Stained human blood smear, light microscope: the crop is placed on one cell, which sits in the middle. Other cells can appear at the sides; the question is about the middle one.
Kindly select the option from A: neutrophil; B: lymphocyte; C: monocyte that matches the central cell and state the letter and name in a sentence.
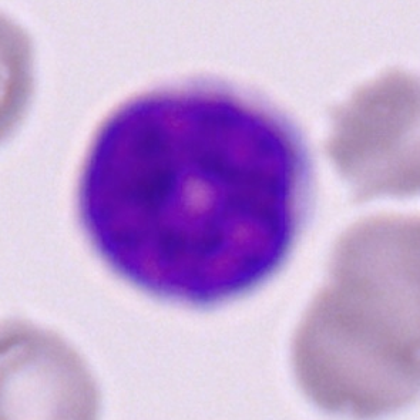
The cell shown centrally is a lymphocyte; option B is the correct option.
